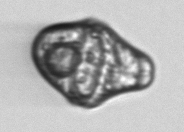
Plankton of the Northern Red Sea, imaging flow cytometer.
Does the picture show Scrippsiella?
No, it shows Akashiwo.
